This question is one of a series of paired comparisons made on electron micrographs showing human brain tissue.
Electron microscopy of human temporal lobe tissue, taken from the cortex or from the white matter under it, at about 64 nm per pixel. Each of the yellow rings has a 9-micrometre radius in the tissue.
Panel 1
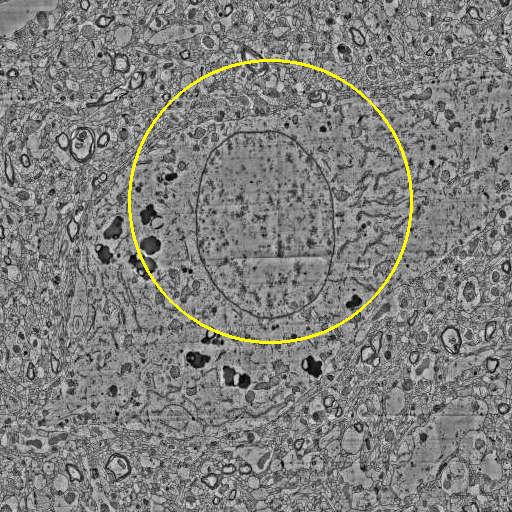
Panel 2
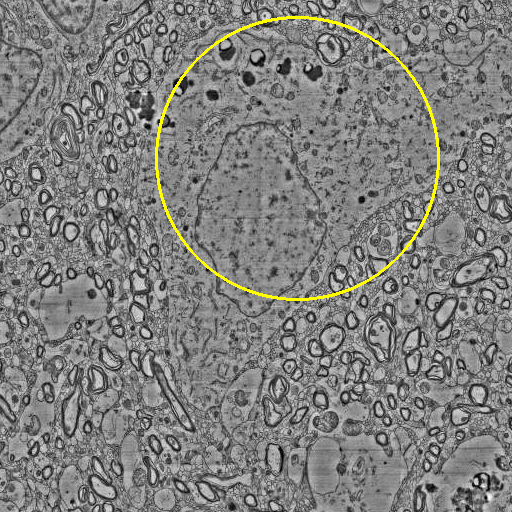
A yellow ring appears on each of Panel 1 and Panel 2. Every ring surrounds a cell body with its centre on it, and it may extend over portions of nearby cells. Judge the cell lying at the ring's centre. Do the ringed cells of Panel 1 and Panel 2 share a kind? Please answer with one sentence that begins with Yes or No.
Yes, the ring-centre cell in Panel 1 and the one in Panel 2 are of one kind.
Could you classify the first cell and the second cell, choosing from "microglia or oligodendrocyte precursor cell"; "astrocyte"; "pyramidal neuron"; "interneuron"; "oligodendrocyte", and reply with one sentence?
Each of the ringed cells, first and second, is a pyramidal neuron.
